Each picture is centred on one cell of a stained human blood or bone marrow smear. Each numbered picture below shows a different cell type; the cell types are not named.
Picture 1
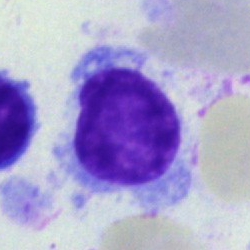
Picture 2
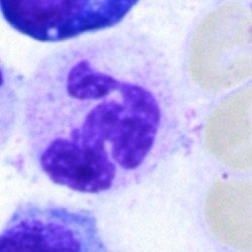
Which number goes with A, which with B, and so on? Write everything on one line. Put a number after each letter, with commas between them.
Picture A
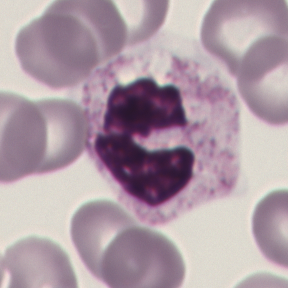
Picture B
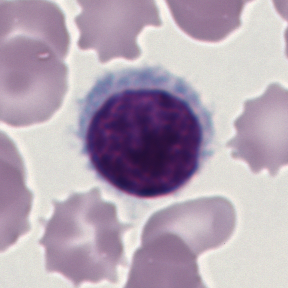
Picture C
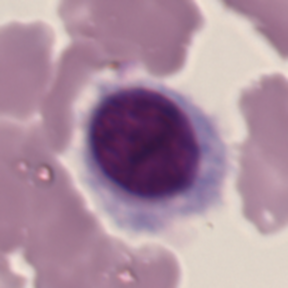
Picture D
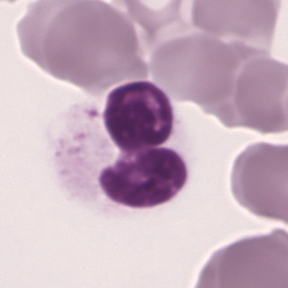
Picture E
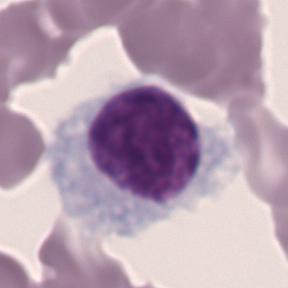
A 2, B 1, C 1, D 2, E 1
